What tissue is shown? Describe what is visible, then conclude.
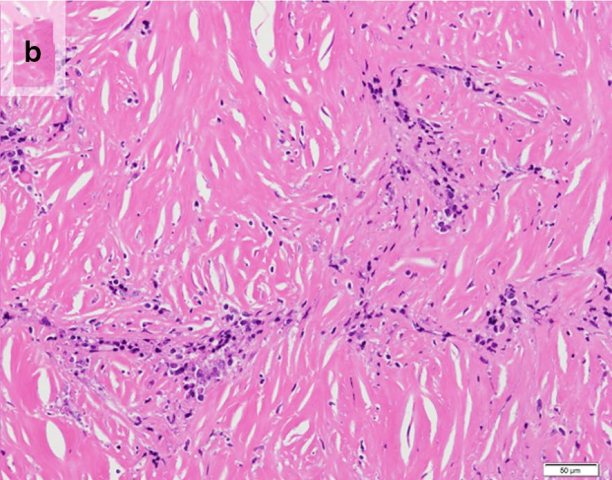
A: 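Broad, glassy pink bands of collagen fill most of the field. Few cells lie between the collagen bands. Small clusters of dark inflammatory cells are scattered between the bands. So: hyalinized fibrous tissue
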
